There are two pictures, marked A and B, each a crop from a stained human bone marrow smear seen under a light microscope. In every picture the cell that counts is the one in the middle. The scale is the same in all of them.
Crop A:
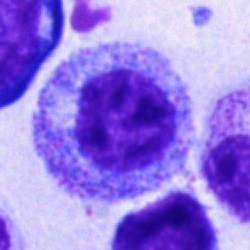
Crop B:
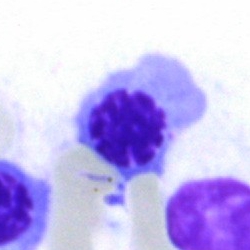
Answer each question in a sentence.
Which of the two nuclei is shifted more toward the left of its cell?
In crop B the nucleus is shifted more toward the left.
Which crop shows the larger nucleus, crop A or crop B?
It is the nucleus in crop A, about 2 times as large in area as the one in crop B.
